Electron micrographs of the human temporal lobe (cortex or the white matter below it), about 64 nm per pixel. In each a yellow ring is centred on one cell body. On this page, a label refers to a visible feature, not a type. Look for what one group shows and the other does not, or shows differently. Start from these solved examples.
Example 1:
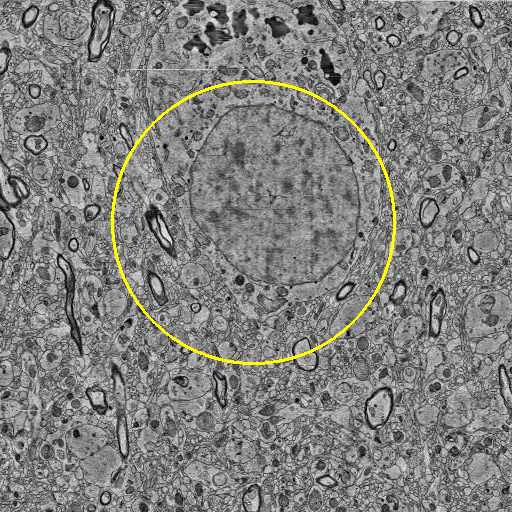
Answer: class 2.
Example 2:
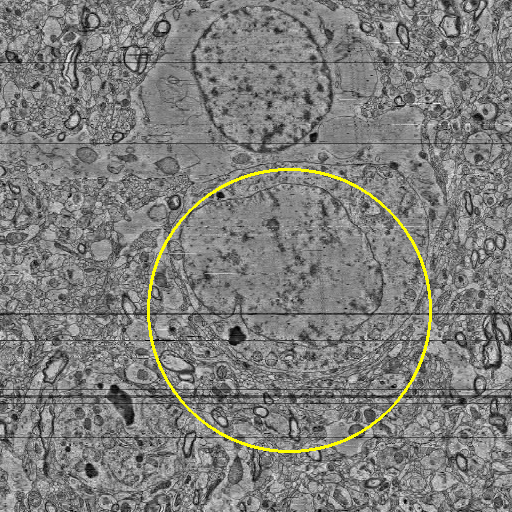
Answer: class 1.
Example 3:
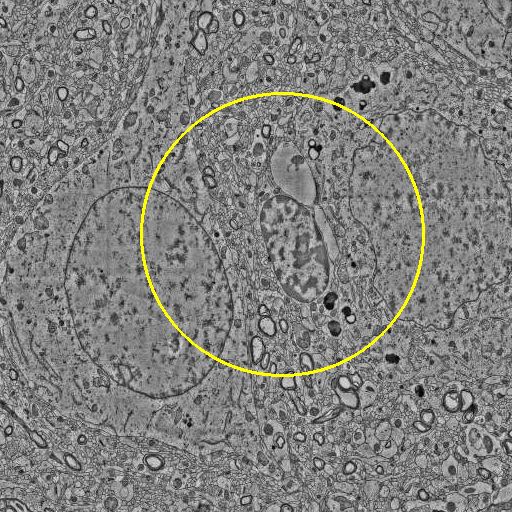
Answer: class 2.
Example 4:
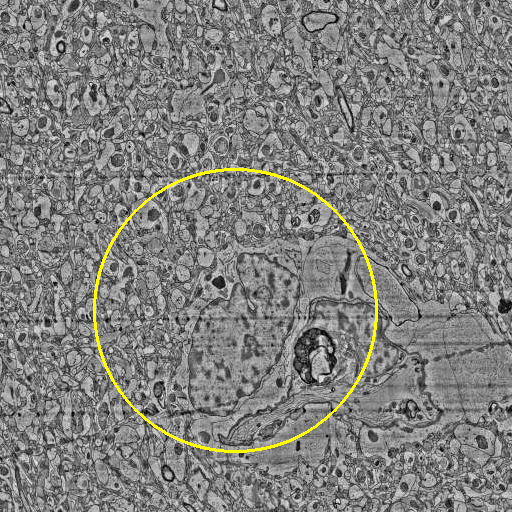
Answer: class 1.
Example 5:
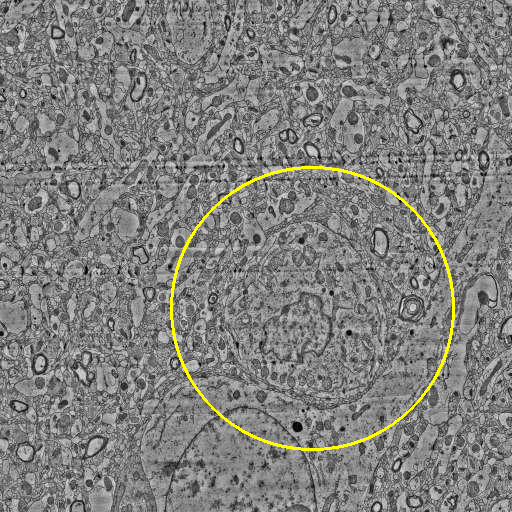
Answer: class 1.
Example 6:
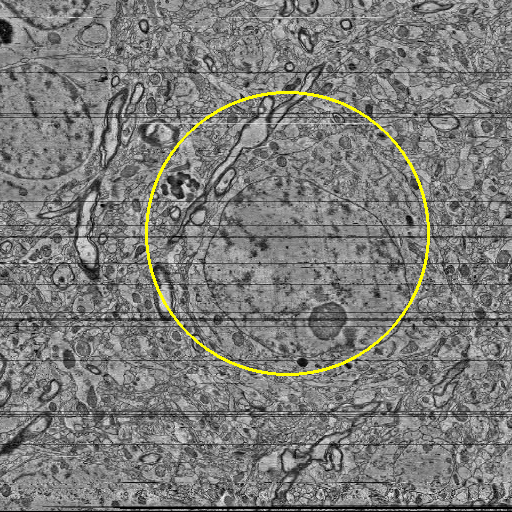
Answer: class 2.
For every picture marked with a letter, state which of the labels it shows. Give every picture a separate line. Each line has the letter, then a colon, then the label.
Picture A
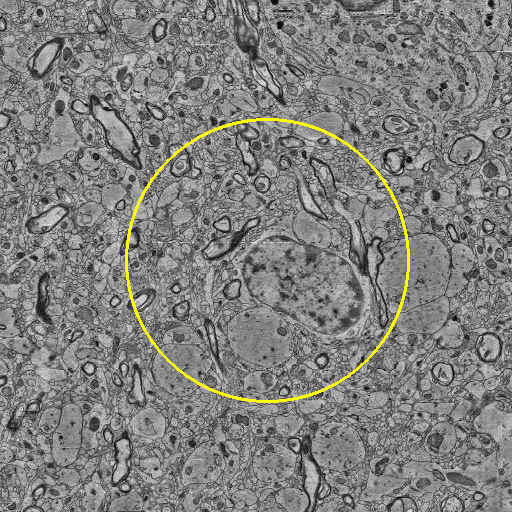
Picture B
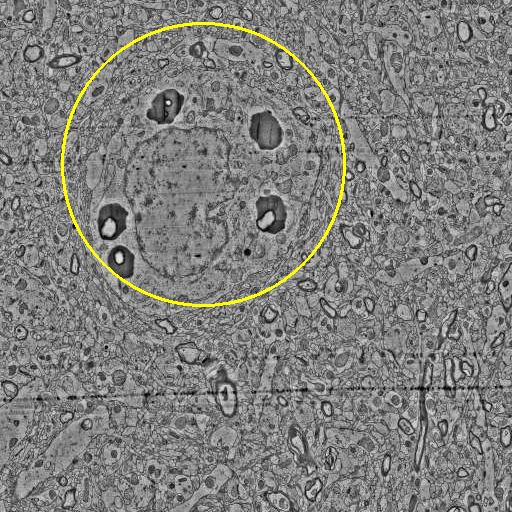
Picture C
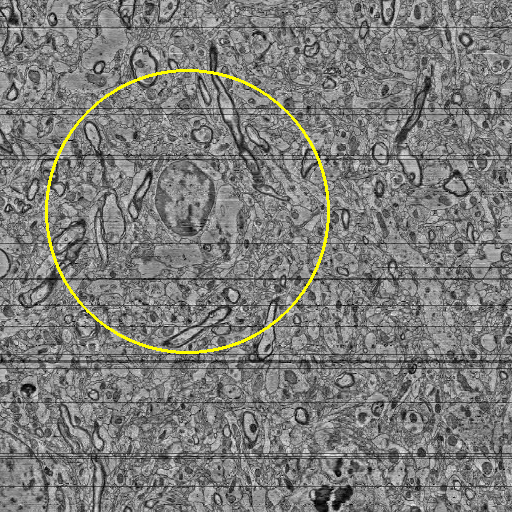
A: class 2.
B: class 1.
C: class 2.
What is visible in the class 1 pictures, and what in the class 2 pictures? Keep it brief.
In class 1: deeply folded or indented nuclear envelopes. In class 2: smooth nuclear envelopes without deep folds.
